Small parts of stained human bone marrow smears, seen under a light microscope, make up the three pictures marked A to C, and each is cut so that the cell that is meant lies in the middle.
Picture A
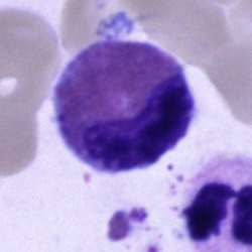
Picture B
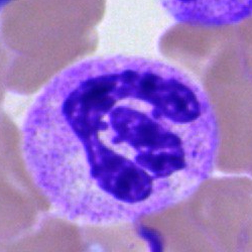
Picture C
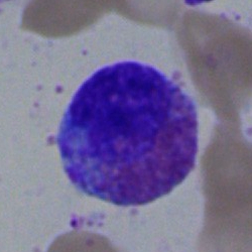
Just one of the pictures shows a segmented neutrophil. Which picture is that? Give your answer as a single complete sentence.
It is picture B that shows the segmented neutrophil.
